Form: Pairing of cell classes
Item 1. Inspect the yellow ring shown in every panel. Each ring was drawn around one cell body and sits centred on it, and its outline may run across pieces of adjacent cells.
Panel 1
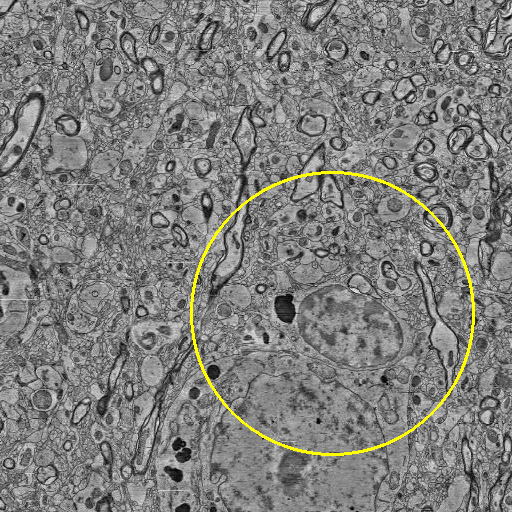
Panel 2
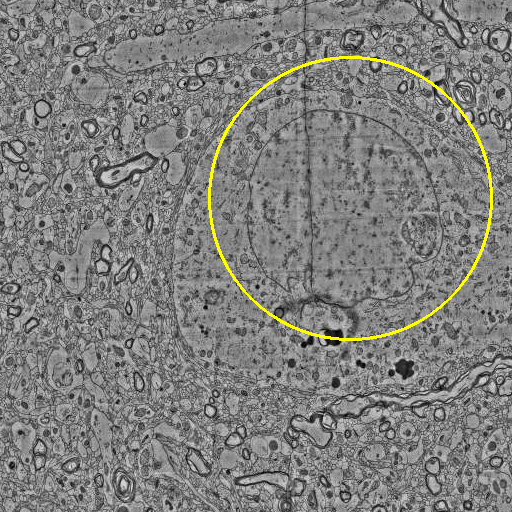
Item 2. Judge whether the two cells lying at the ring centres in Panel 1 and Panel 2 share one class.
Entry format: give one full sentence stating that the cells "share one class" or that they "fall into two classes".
The cells at the ring centres in Panel 1 and Panel 2 fall into two classes.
